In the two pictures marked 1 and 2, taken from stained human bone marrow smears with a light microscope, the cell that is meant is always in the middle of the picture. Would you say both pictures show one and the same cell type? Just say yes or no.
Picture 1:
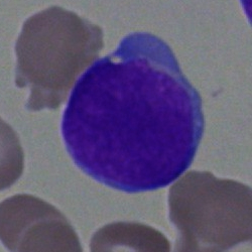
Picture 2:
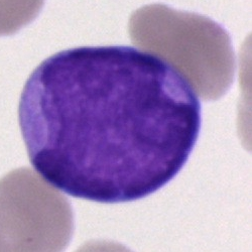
yes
